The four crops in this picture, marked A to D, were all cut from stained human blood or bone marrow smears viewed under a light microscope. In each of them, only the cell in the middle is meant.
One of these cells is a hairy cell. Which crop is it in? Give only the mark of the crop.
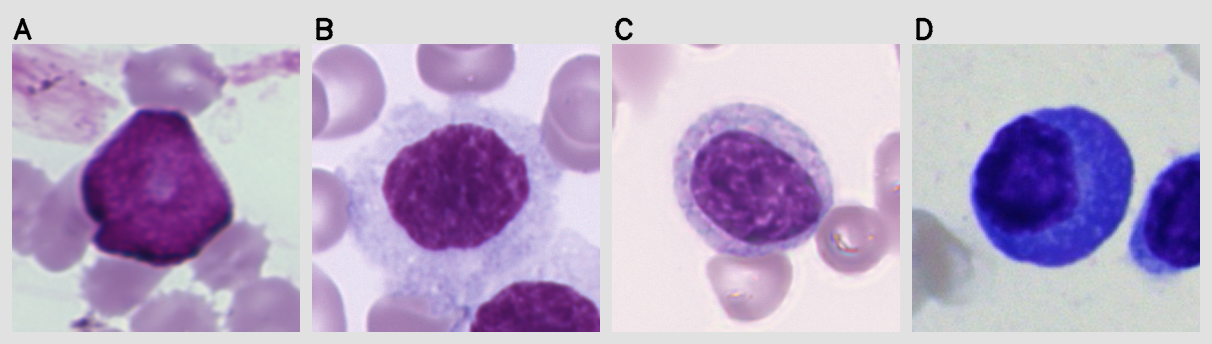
B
